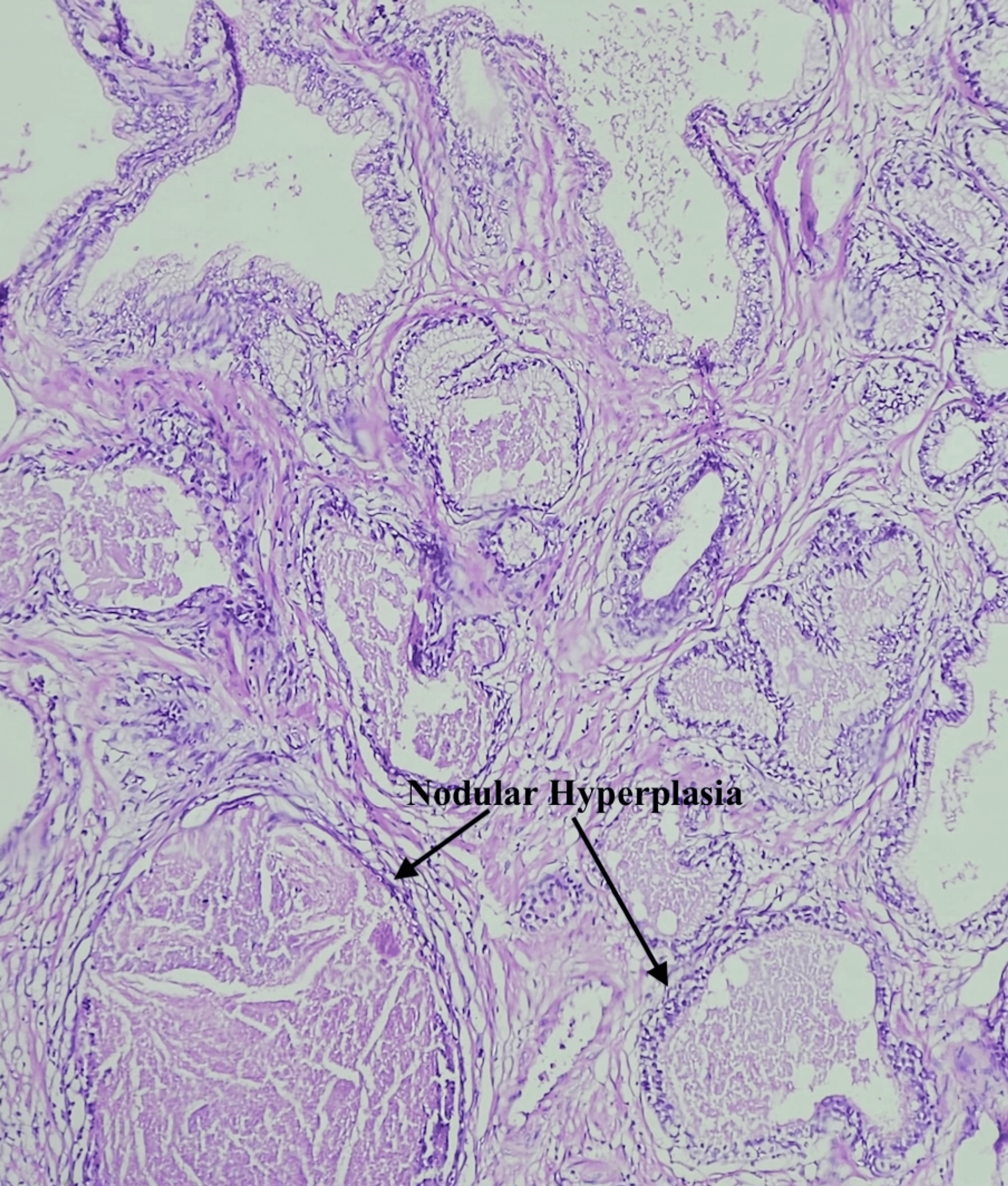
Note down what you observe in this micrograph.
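Prostatic tissue with many dilated glands set in a pink fibromuscular stroma. The glands are lined by pale, vacuolated columnar epithelium with dark basal nuclei, and some show papillary infoldings into the lumen. Many lumina are filled with pink, finely granular or fissured eosinophilic material.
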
